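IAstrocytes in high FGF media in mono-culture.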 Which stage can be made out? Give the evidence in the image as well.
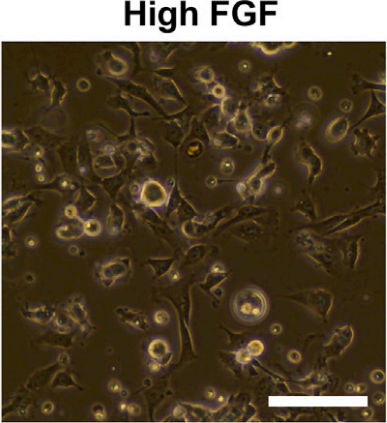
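Pyramidal shape with sparse, short processes. Adherent cells have angular, roughly triangular bodies. Only a few short extensions leave each cell body. Cells are scattered with dark open space between them.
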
